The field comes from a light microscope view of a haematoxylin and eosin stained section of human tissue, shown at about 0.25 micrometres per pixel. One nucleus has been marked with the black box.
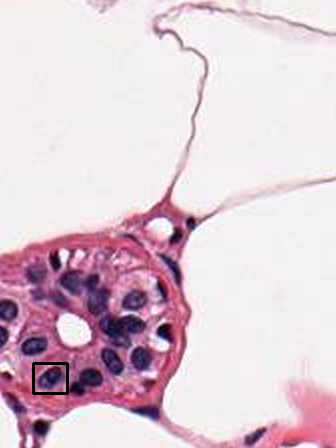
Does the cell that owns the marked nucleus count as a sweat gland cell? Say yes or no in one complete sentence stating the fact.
Yes, the marked nucleus is that of a sweat gland cell in this section.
